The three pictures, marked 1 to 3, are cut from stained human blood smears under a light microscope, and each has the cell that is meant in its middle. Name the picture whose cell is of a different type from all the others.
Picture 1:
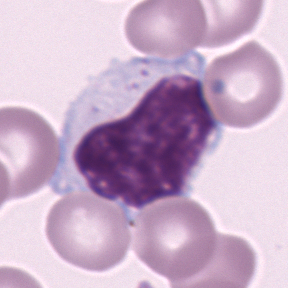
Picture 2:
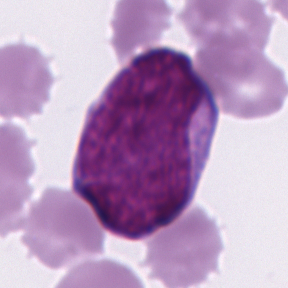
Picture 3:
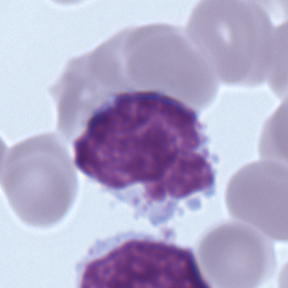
2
